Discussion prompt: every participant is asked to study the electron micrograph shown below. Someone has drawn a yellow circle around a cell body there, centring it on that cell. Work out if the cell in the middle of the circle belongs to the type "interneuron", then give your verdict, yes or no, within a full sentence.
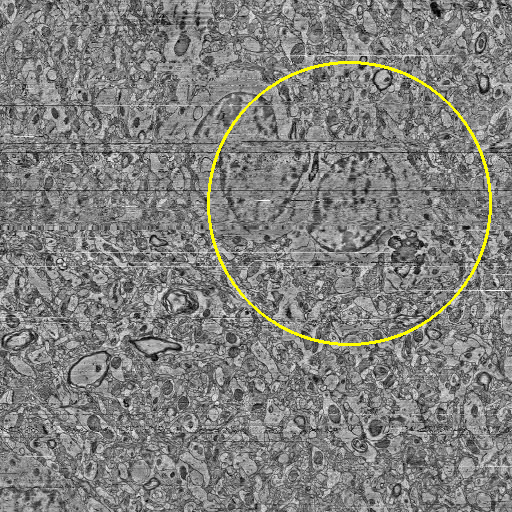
No, my verdict is that the cell in the circle's centre is of a different type.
